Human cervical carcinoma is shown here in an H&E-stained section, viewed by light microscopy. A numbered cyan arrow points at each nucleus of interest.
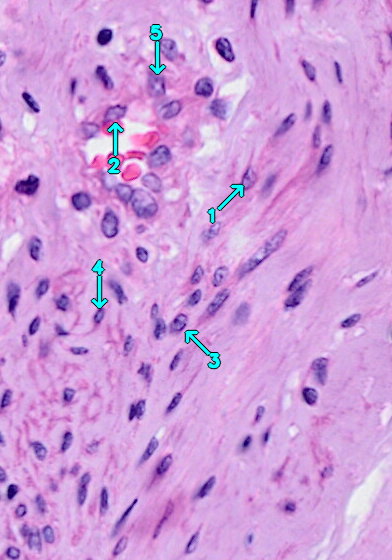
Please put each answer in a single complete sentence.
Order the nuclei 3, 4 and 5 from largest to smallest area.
Largest first, the order by area is 5, 3, 4.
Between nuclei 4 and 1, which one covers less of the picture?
Nucleus 4 is the smaller one; nucleus 1 covers about 2 times its area.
